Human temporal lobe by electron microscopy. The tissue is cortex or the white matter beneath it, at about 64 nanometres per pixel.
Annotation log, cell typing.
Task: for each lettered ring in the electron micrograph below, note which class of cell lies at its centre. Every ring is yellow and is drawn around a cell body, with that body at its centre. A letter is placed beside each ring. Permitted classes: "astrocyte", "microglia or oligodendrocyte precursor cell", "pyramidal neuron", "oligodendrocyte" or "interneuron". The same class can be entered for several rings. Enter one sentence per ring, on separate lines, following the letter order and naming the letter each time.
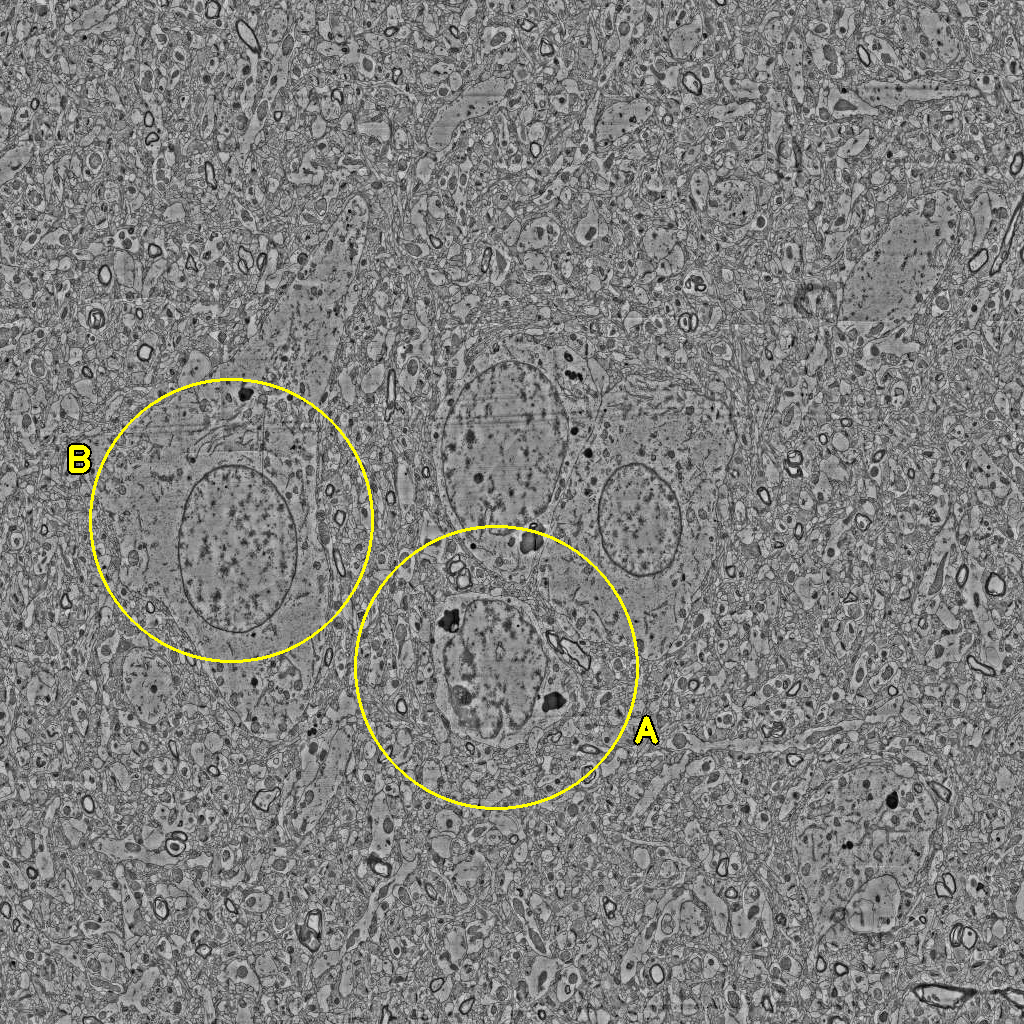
The cell at the centre of ring A is an interneuron.
The cell at the centre of ring B is a pyramidal neuron.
